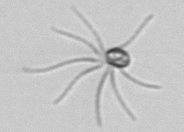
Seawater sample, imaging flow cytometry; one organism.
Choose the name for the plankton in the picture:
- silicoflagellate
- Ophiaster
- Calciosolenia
Ophiaster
